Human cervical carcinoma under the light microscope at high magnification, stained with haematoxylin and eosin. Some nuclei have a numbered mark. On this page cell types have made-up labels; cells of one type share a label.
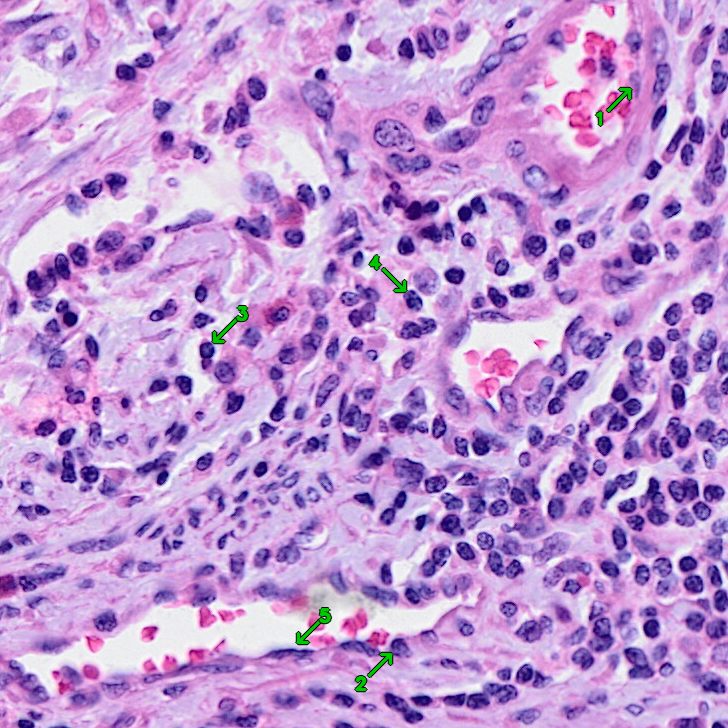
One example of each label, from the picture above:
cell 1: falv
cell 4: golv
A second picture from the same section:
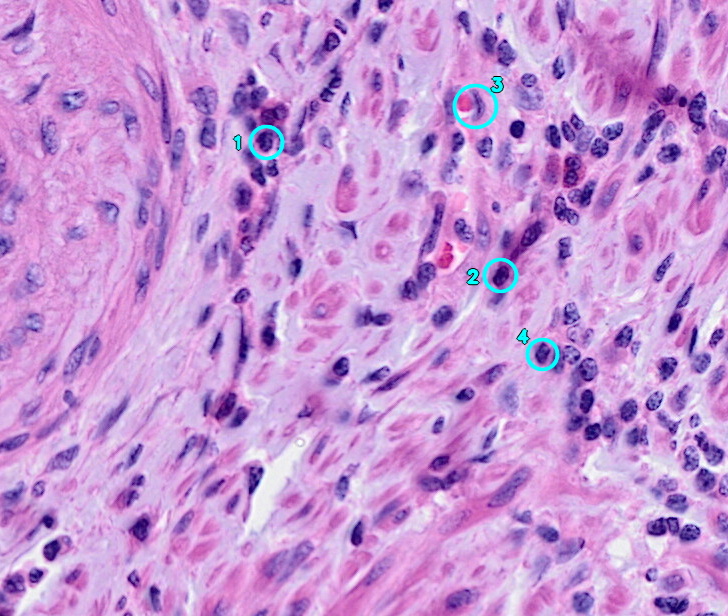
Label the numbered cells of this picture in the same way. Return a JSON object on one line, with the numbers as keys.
{"1": "golv", "2": "golv", "3": "falv", "4": "golv"}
